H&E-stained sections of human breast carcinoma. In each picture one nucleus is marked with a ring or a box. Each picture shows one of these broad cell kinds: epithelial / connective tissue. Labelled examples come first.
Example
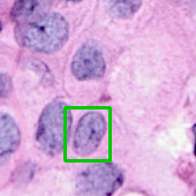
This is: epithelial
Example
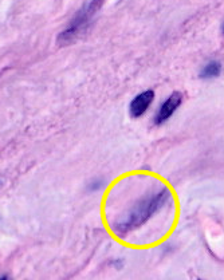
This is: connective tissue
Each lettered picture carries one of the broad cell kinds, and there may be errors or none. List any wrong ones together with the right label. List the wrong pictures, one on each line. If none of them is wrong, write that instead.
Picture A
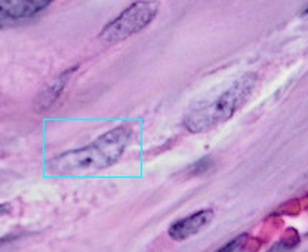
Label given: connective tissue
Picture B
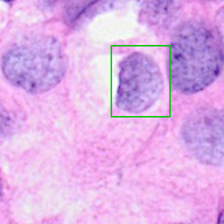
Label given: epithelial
Every label is right.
